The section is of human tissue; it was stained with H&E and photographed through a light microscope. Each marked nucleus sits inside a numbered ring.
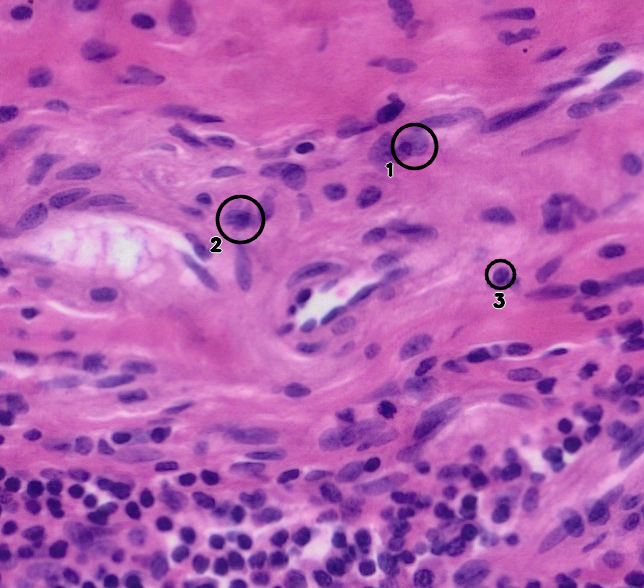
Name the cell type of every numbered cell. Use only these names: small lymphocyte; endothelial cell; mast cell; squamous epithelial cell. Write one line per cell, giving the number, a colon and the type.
1: endothelial cell
2: endothelial cell
3: mast cell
